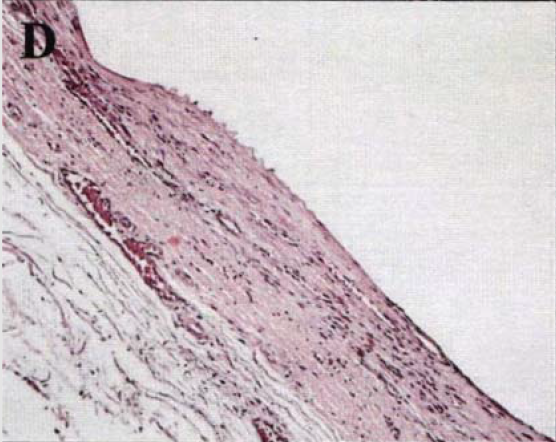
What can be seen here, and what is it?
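This is the wall of a blood vessel with the lumen to the upper right and loose connective tissue to the lower left. The inner surface is lined by a thin layer with small flattened nuclei. In the outer wall a small vessel packed with red blood cells runs parallel to the surface. The outermost zone is pale, loose and wavy, with sparse nuclei.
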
